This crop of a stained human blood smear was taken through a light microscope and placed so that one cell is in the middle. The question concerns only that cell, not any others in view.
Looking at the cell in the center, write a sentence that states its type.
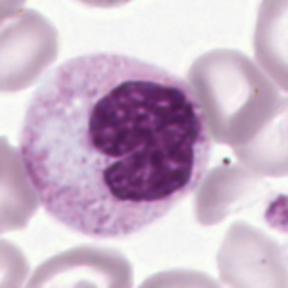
Occupying the centre of the crop is a band neutrophil.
